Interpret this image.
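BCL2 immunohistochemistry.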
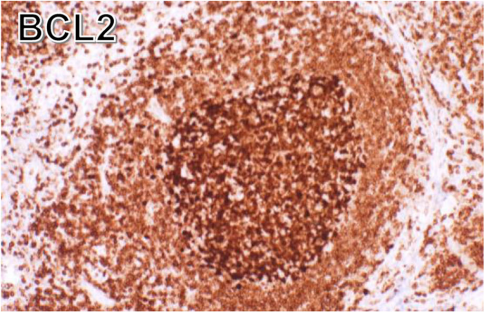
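At higher power a single lymphoid follicle is shown, with its central germinal centre densely packed with cells stained intensely dark brown. Around it is a zone of small lymphocytes stained a lighter brown, and the surrounding tissue contains scattered brown-stained cells.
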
